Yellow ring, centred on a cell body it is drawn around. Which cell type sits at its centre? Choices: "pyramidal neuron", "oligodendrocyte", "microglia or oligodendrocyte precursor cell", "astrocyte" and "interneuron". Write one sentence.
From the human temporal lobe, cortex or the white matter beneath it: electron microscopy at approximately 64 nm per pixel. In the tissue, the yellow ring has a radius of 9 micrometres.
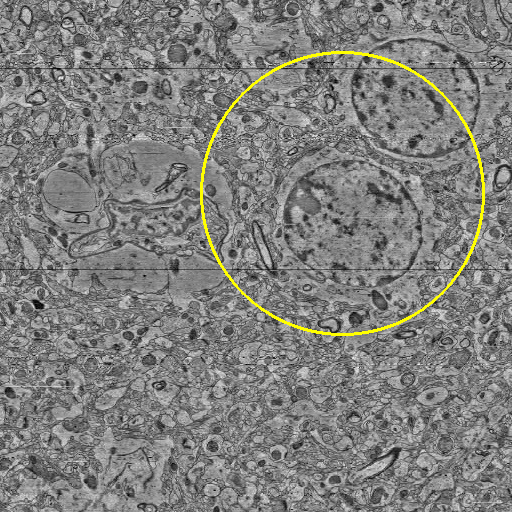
At the centre of the ring sits an astrocyte.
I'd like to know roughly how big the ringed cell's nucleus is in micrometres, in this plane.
Approximately 8 micrometres across, in this plane.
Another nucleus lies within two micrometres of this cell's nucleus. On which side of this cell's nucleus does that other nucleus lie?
The second nucleus is above it.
